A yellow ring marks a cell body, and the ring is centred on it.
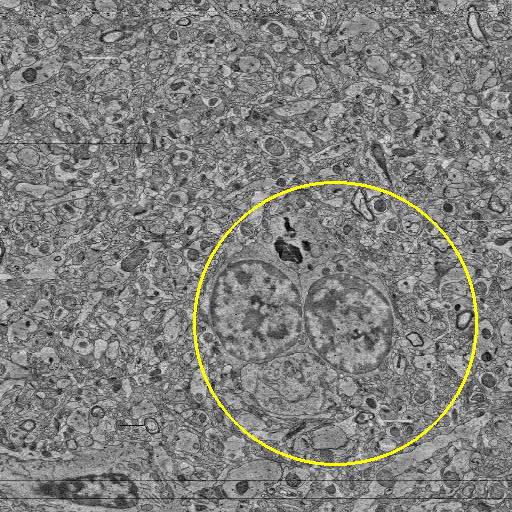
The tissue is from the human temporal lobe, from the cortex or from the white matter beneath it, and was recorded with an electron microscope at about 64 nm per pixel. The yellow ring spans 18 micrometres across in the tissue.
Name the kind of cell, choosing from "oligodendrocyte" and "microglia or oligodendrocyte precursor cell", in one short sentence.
The marked cell body belongs to an oligodendrocyte.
